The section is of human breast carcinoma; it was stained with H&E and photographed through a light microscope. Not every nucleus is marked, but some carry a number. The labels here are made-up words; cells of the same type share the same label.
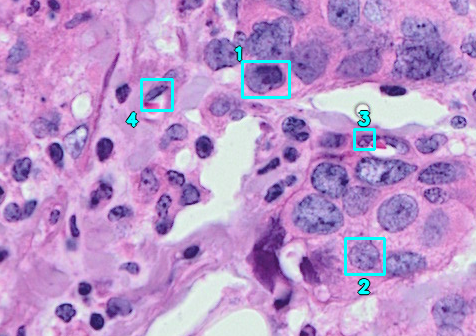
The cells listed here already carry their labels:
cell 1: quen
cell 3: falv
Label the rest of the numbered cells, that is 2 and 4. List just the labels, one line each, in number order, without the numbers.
quen
falv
